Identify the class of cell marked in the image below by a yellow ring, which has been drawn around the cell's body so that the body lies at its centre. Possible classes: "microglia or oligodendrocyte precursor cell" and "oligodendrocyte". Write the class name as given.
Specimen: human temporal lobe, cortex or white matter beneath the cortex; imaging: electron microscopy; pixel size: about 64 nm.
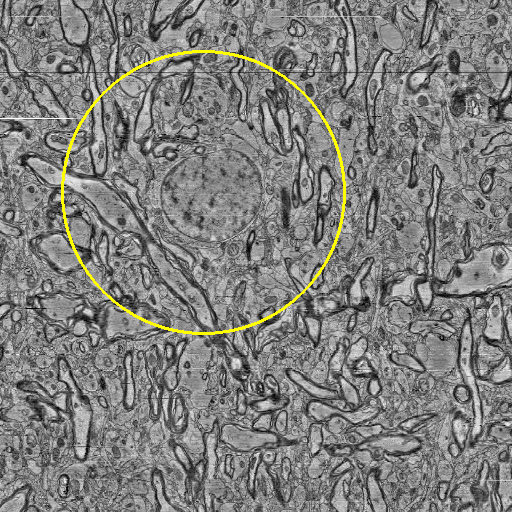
microglia or oligodendrocyte precursor cell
